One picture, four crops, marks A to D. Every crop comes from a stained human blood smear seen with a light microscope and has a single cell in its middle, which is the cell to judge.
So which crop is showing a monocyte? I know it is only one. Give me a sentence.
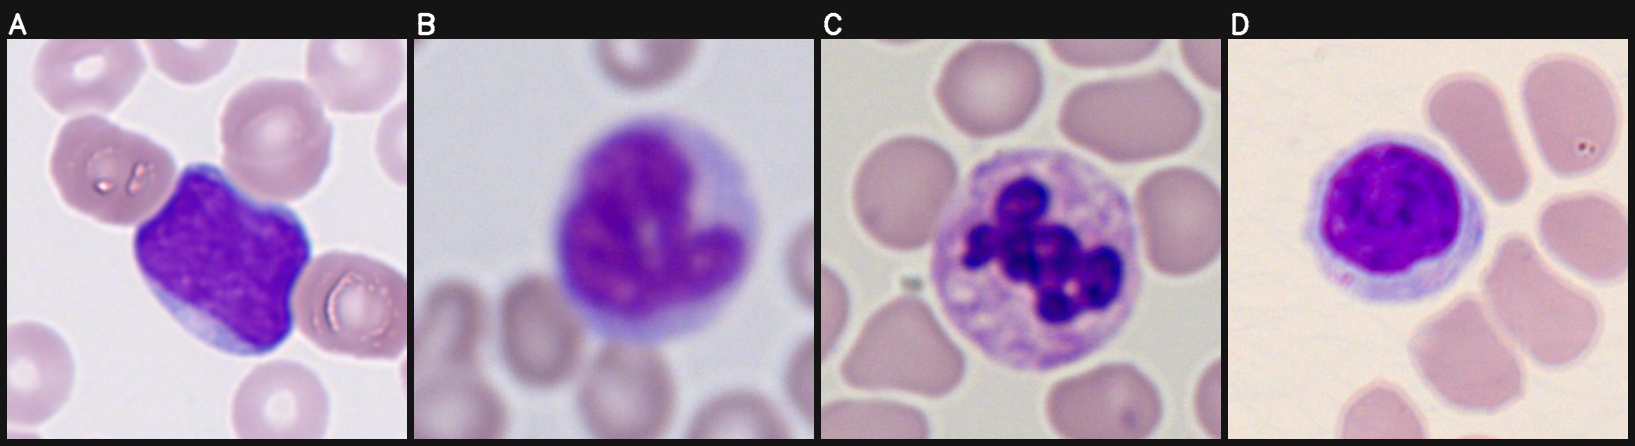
Of the labelled crops, the one that shows a monocyte is crop B.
